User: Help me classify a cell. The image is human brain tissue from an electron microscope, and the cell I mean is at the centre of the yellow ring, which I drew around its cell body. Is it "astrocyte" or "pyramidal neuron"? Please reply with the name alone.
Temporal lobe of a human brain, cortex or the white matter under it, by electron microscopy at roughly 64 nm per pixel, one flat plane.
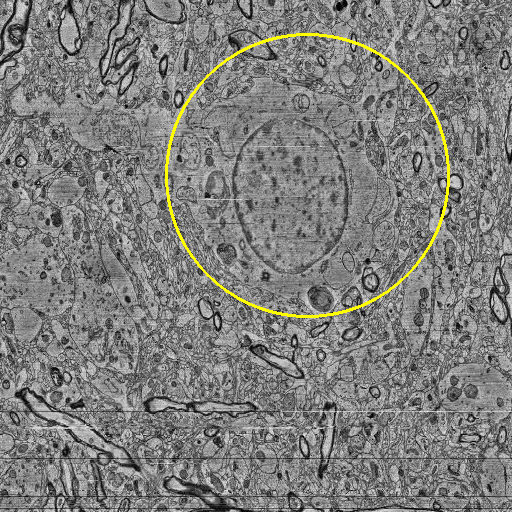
astrocyte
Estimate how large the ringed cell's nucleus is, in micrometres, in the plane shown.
The ringed cell's nucleus is about 10 micrometres long and 7 micrometres wide in this plane.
